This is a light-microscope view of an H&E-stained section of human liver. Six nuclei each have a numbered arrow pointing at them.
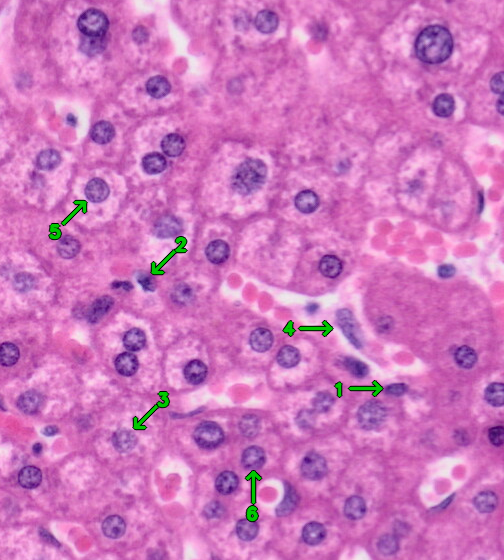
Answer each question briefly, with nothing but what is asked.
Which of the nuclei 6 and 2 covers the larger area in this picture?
6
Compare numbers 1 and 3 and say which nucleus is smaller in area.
1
